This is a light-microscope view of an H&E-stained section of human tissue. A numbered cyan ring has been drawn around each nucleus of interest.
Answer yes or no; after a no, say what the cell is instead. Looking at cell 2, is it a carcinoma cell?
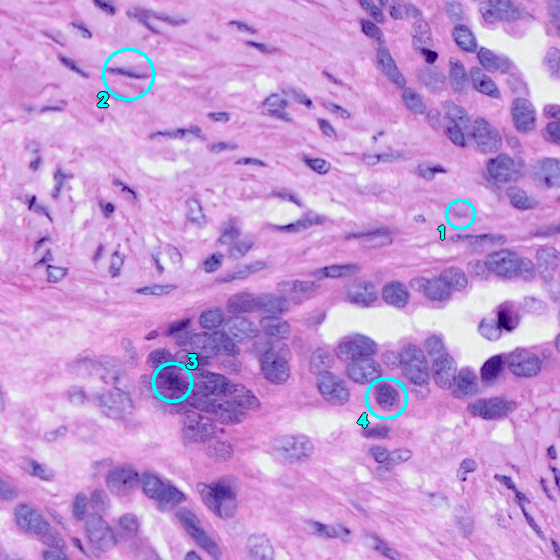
No, it is a fibroblast.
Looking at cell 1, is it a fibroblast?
Yes.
